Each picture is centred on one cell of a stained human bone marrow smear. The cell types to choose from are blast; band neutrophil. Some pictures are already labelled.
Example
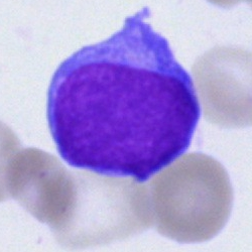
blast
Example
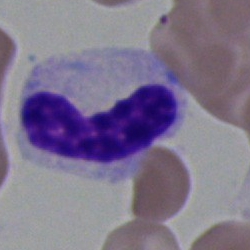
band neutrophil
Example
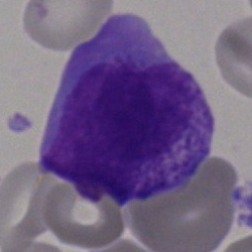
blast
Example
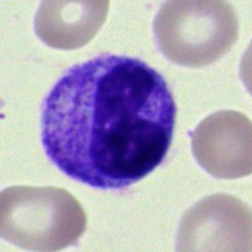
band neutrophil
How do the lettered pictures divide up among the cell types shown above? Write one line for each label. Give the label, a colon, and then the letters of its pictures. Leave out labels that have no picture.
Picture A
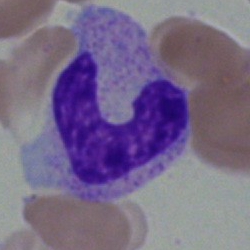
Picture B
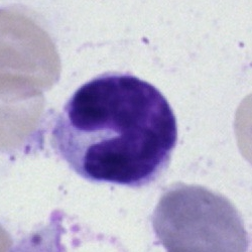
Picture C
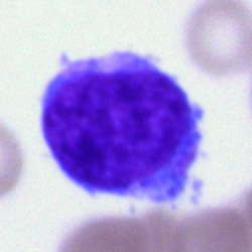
blast: C
band neutrophil: A, B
